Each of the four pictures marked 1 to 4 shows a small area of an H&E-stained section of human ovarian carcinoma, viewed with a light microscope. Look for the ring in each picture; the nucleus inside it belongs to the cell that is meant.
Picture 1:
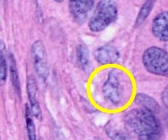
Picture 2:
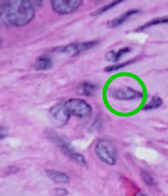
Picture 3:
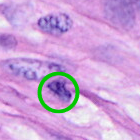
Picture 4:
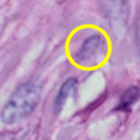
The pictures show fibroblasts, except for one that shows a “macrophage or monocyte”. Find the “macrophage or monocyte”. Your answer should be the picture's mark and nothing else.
3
